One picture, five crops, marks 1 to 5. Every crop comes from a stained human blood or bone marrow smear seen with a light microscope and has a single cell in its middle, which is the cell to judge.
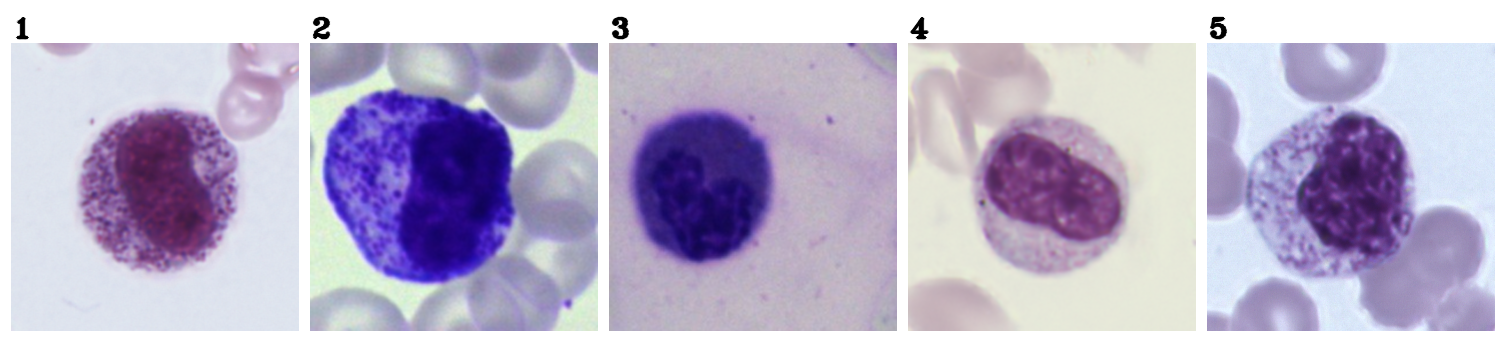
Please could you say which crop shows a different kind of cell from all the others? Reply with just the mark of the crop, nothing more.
3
